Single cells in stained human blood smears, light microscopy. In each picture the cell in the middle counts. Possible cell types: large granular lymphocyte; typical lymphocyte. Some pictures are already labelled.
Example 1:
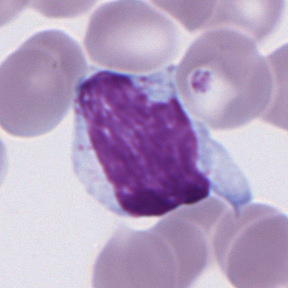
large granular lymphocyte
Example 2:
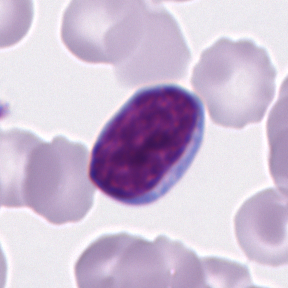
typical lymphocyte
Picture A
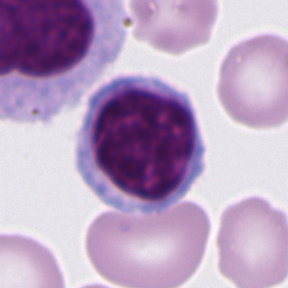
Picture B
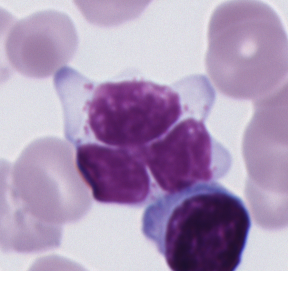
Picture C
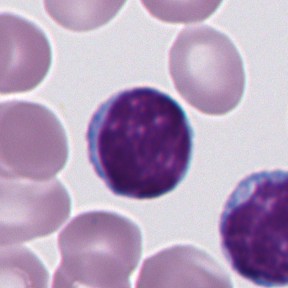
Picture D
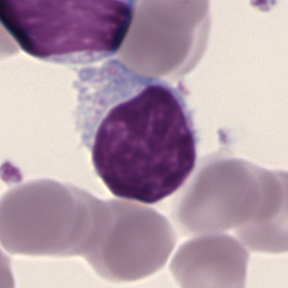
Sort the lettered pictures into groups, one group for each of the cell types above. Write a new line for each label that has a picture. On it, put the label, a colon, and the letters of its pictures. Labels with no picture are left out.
large granular lymphocyte: B, D
typical lymphocyte: A, C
